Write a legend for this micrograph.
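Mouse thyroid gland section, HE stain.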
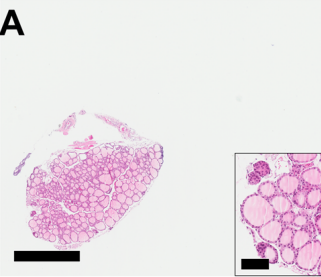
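The section shows a small lobe made of many closely set round follicles, each filled with smooth, pale pink material and bordered by a thin rim of cells. In the enlarged view the lining cells form a single layer, mostly flat to low cuboidal, with small dark purple nuclei around the pink contents. Thin strands of connective tissue separate the follicles.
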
